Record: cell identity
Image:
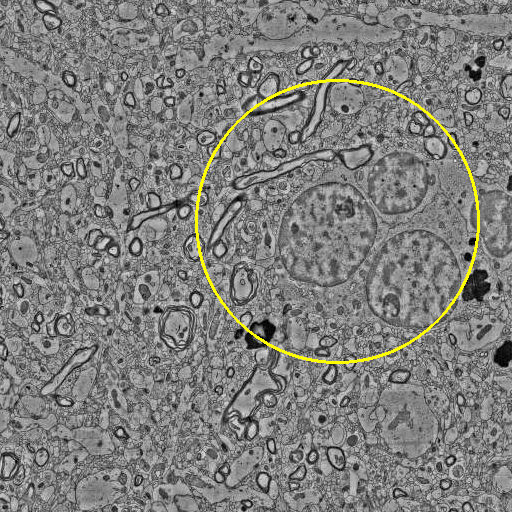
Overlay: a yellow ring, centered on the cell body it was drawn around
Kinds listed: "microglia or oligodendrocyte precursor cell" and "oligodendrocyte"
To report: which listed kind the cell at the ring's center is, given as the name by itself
oligodendrocyte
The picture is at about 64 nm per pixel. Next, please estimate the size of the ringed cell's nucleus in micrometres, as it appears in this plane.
In this plane the nucleus spans approximately 7 by 6 micrometers.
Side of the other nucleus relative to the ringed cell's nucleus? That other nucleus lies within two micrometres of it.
That other nucleus is to the lower right of it.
